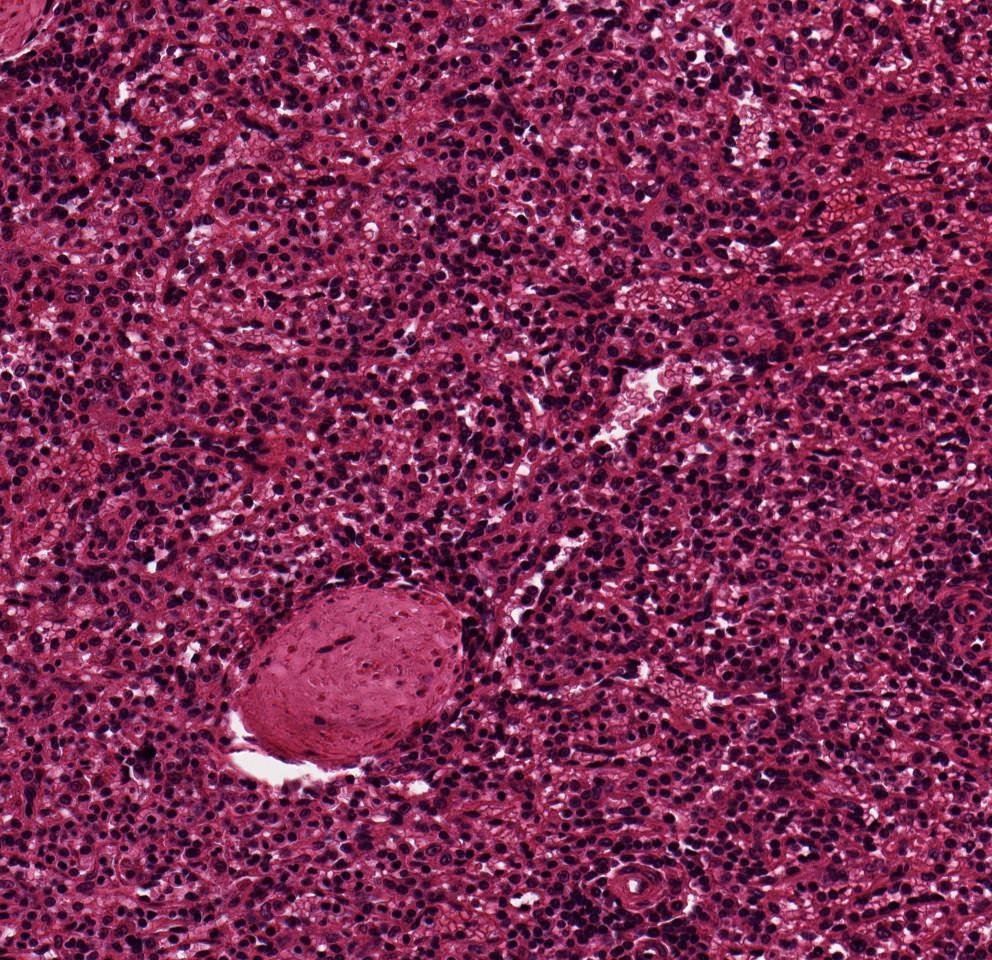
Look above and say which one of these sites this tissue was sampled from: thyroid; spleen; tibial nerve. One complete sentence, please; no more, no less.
This is a tissue section sampled from the spleen.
